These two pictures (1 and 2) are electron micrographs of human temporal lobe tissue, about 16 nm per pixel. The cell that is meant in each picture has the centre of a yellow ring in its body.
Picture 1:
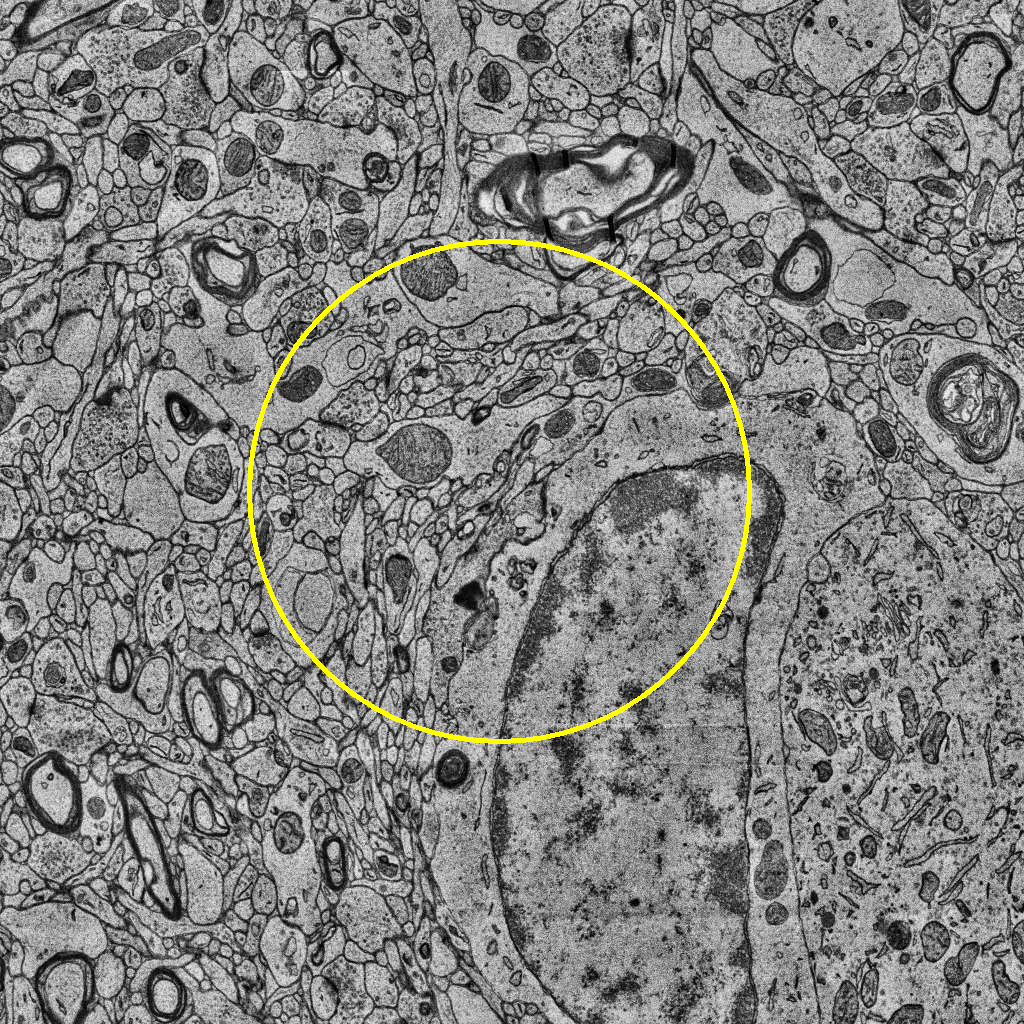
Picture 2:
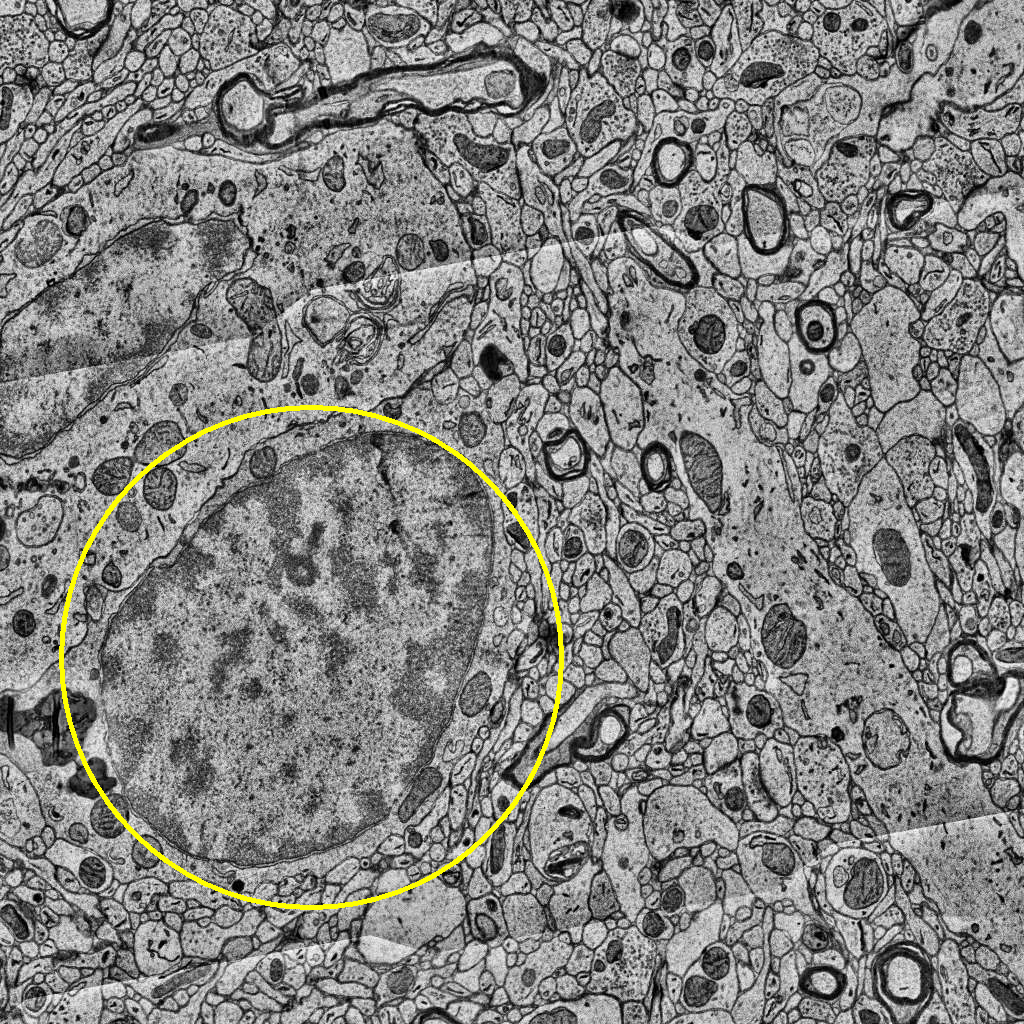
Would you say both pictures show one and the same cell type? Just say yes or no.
yes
